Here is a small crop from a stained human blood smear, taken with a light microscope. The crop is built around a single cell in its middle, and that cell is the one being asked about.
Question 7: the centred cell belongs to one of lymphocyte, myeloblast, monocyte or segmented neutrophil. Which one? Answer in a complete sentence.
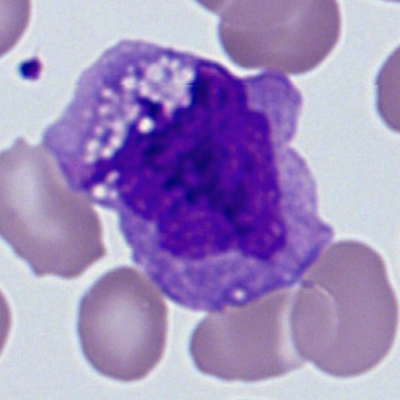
The cell sitting right in the middle is a monocyte.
